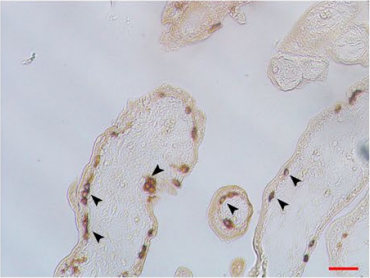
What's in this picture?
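Several placental villi of different sizes are cut in longitudinal and cross section, including a small round profile in the middle. Each has a pale, loose core of stroma enclosed by a thin, lightly tan outer cell layer. Arrowheads point to numerous cells lying along this outer layer whose cytoplasm stains dark brown; they are small, oval to rounded, and spaced at intervals along the borders of the villi, including the small round one. The stromal cores are largely unstained, and the spaces between the villi are empty and pale.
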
